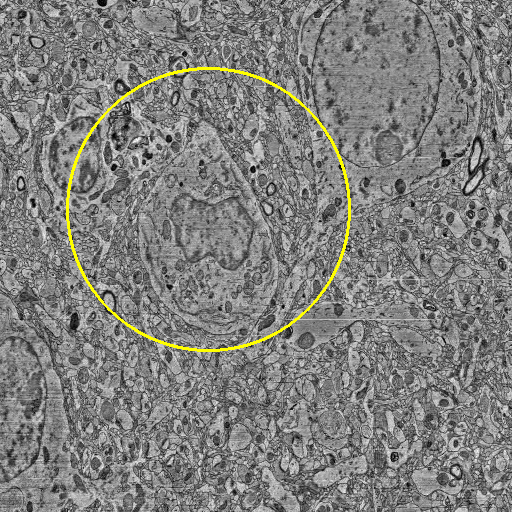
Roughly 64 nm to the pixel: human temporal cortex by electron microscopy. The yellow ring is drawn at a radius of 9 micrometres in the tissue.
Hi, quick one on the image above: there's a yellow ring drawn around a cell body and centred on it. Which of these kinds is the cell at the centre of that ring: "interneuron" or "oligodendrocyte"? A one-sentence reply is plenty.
The cell at the centre of the ring is an interneuron.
